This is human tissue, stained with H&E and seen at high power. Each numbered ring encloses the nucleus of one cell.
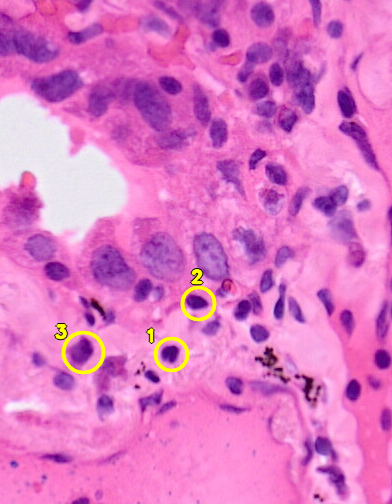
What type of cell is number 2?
lymphocyte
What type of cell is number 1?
lymphocyte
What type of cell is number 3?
plasma cell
